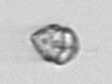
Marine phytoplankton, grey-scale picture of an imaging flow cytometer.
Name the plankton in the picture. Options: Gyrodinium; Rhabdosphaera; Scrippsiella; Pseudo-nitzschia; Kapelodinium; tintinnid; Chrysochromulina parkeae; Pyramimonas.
Scrippsiella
